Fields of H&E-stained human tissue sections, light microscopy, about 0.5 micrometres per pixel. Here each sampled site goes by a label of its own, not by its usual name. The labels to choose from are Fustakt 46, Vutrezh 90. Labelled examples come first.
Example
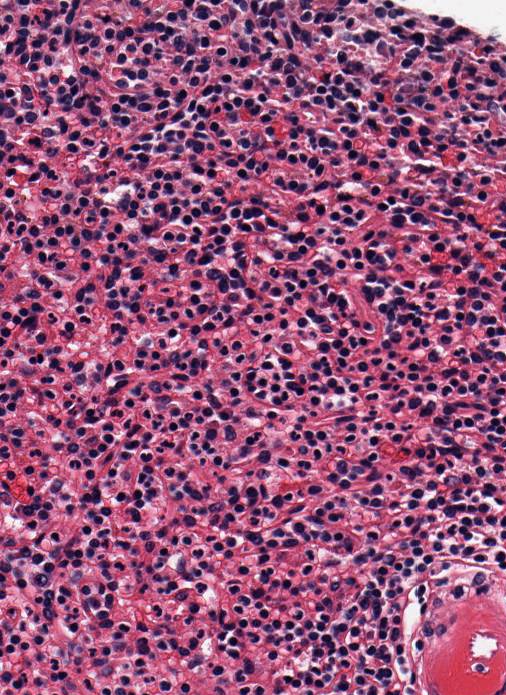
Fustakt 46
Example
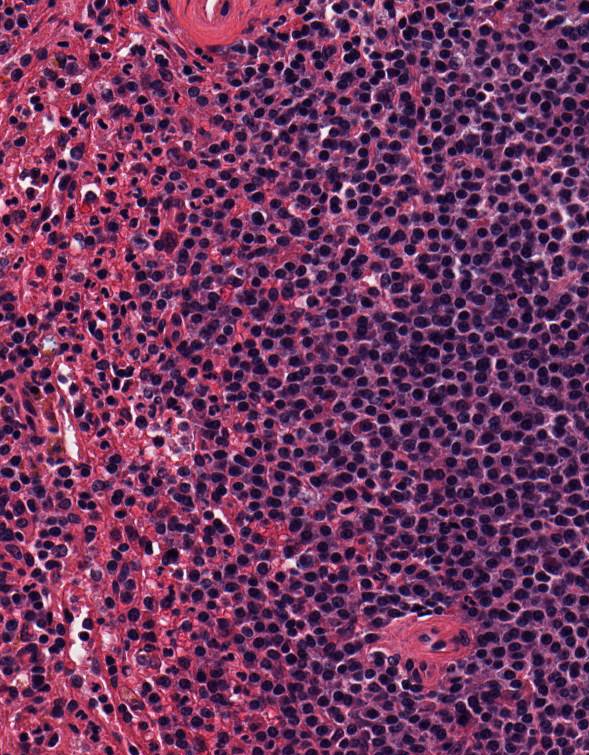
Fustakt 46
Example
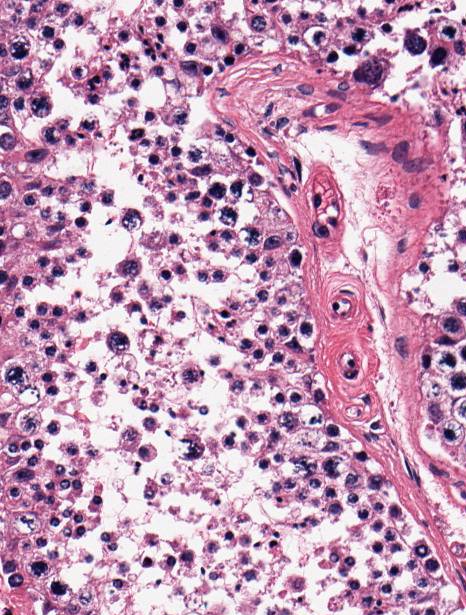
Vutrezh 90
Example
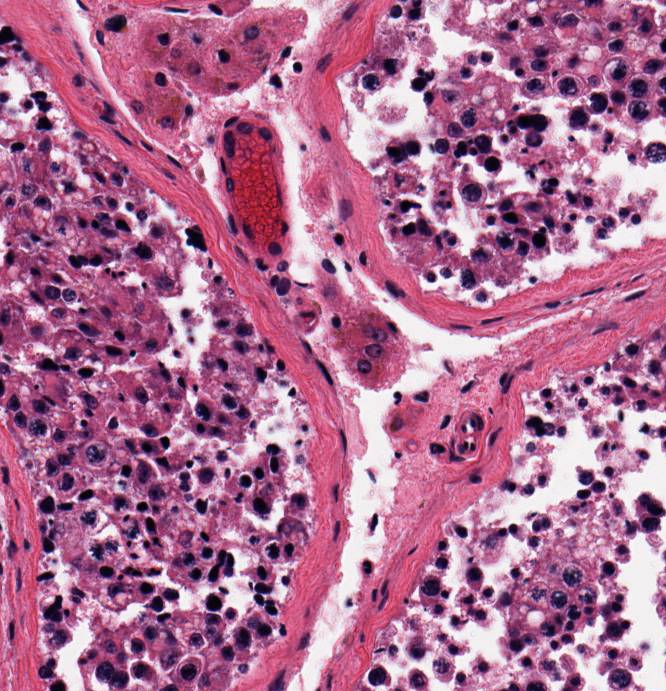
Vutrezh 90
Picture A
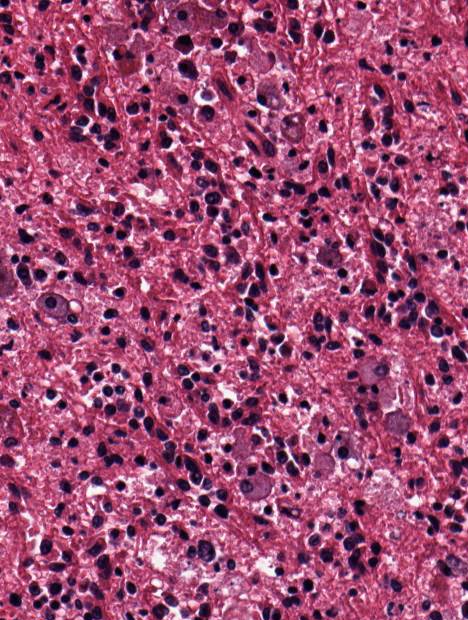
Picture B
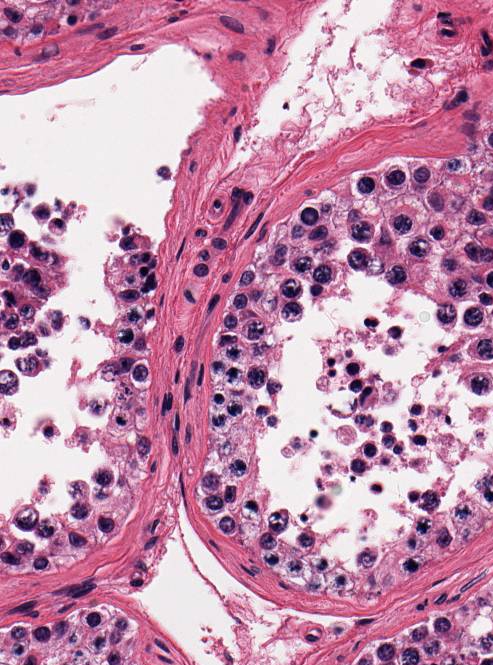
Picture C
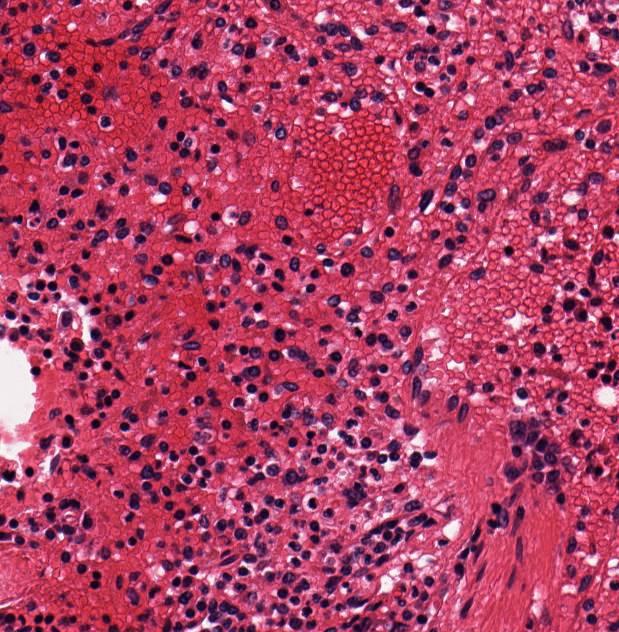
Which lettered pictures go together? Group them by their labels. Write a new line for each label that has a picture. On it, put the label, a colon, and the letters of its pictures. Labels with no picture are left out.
Fustakt 46: A, C
Vutrezh 90: B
